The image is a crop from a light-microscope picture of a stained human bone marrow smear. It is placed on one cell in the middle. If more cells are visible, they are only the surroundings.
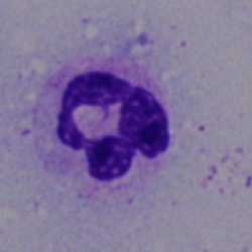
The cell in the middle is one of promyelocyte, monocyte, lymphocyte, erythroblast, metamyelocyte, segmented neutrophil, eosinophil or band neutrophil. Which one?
segmented neutrophil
